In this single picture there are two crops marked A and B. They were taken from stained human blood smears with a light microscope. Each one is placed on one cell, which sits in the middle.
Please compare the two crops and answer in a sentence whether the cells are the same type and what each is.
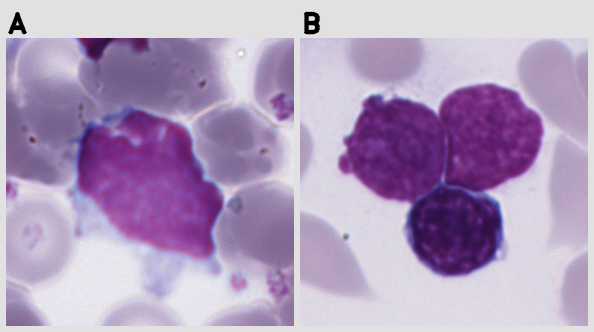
No, crop A shows a typical lymphocyte and crop B shows a myeloblast.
